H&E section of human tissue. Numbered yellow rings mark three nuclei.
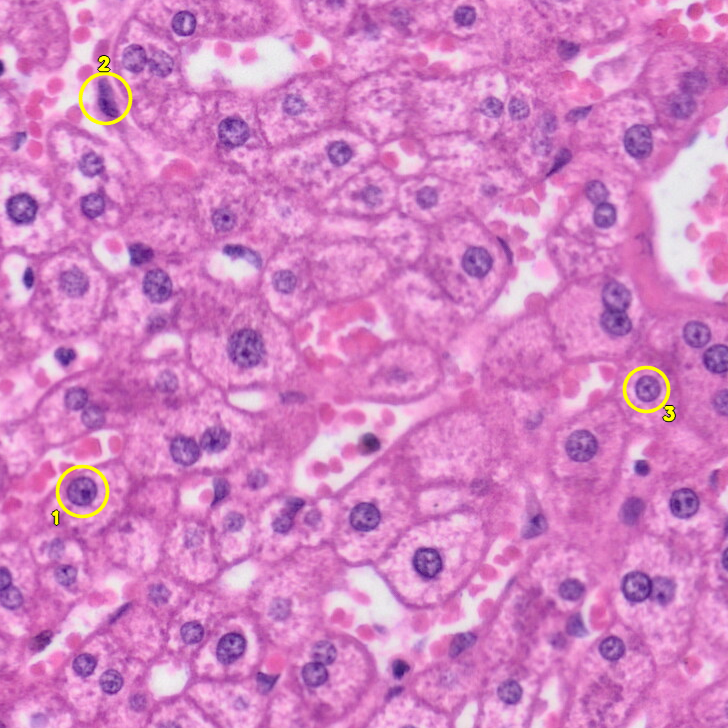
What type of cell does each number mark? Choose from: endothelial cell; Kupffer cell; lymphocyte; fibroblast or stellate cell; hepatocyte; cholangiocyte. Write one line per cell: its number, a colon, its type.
1: hepatocyte
2: Kupffer cell
3: hepatocyte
